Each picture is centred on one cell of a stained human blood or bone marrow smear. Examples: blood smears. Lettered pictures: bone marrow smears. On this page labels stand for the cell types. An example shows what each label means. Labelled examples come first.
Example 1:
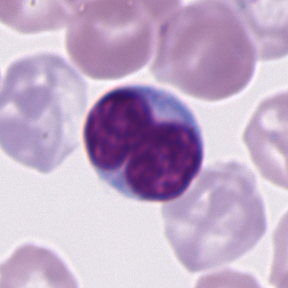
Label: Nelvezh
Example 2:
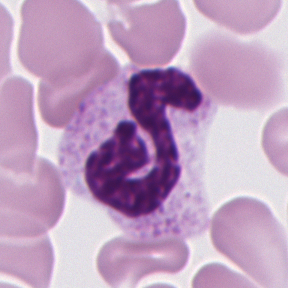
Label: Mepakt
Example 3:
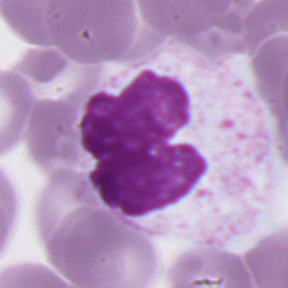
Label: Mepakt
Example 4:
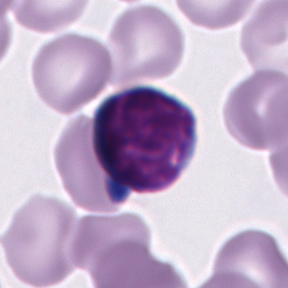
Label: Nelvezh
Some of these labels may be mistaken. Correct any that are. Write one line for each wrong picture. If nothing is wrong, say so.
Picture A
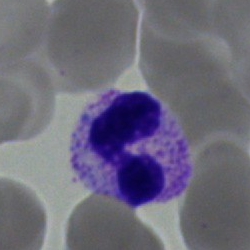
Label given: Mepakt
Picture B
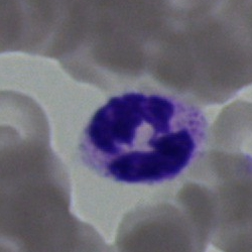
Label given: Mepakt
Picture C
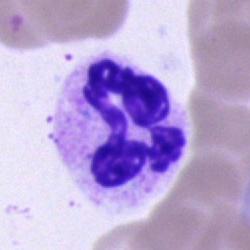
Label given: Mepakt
All labels are correct.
